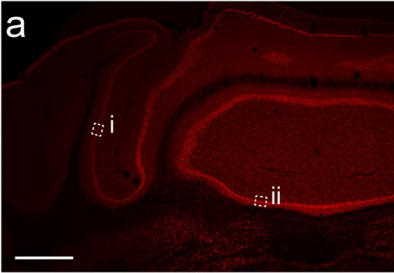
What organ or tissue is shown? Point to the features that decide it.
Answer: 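A folded sheet of tissue forms lobules around a central region. The folded cortex shows layered bands of differing brightness.
Cerebellar cortex.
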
